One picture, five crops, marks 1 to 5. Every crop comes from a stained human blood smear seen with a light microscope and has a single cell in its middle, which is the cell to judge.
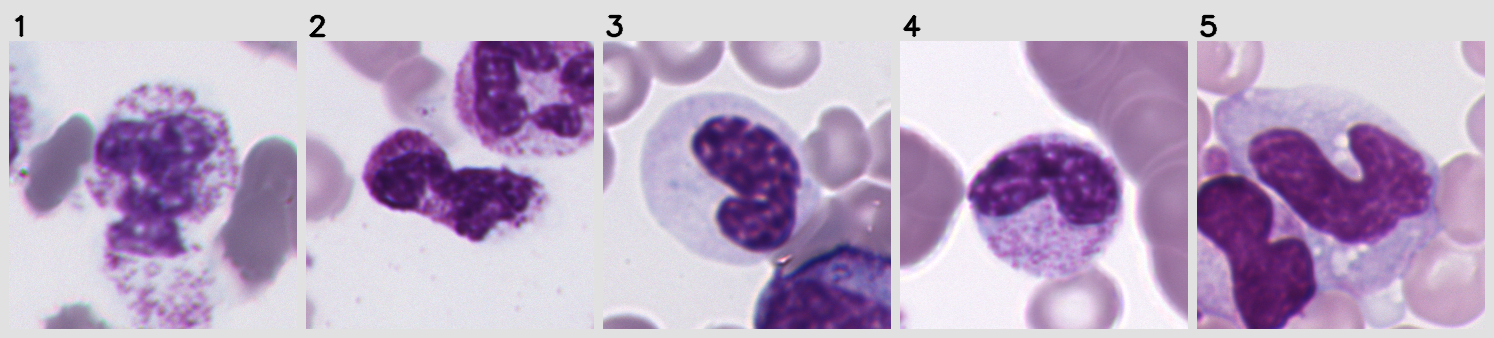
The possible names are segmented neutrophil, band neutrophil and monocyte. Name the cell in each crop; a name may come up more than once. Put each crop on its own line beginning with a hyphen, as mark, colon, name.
- 1: segmented neutrophil
- 2: segmented neutrophil
- 3: band neutrophil
- 4: band neutrophil
- 5: monocyte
